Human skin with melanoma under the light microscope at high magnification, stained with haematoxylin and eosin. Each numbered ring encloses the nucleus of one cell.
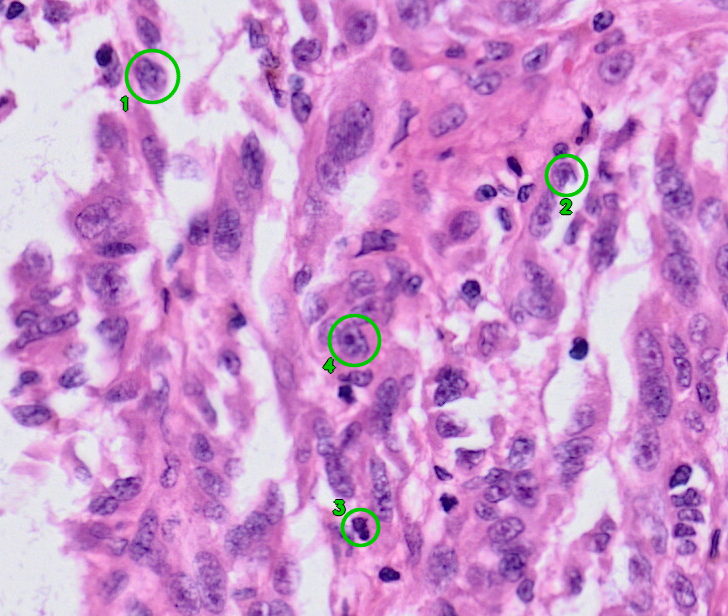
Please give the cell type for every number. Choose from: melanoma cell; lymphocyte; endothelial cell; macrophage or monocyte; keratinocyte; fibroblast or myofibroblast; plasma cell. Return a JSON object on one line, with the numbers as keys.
{"1": "melanoma cell", "2": "melanoma cell", "3": "lymphocyte", "4": "melanoma cell"}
